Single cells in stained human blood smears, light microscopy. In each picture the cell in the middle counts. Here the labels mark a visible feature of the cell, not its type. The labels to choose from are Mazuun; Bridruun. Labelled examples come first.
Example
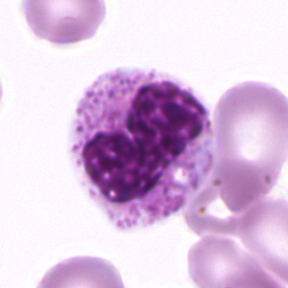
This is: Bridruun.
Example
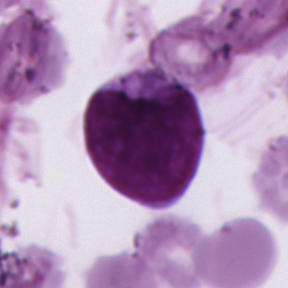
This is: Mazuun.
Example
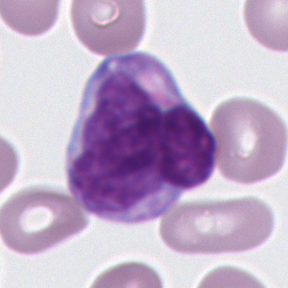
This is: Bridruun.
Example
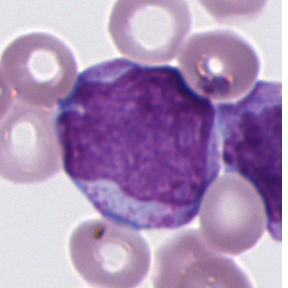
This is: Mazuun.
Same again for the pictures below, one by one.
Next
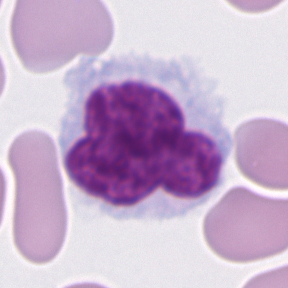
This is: Bridruun.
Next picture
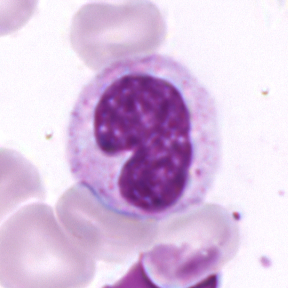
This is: Mazuun.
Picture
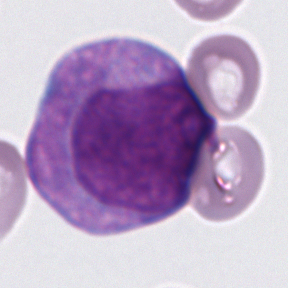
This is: Mazuun.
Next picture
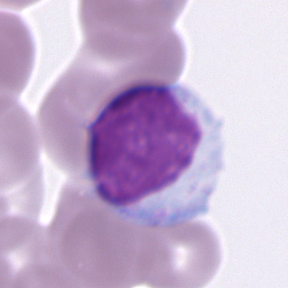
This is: Mazuun.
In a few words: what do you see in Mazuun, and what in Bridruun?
In Mazuun: single compact nucleus. In Bridruun: lobed nucleus.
